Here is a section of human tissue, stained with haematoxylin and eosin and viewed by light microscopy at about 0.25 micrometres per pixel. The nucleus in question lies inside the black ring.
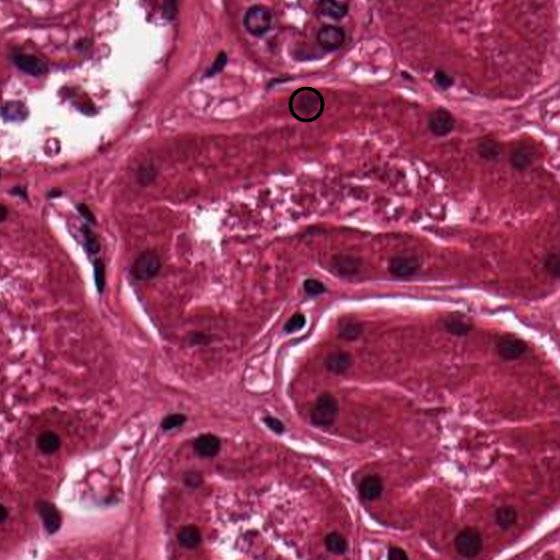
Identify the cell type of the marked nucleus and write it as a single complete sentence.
The nucleus indicated by the mark belongs to a proximal tubule cell.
